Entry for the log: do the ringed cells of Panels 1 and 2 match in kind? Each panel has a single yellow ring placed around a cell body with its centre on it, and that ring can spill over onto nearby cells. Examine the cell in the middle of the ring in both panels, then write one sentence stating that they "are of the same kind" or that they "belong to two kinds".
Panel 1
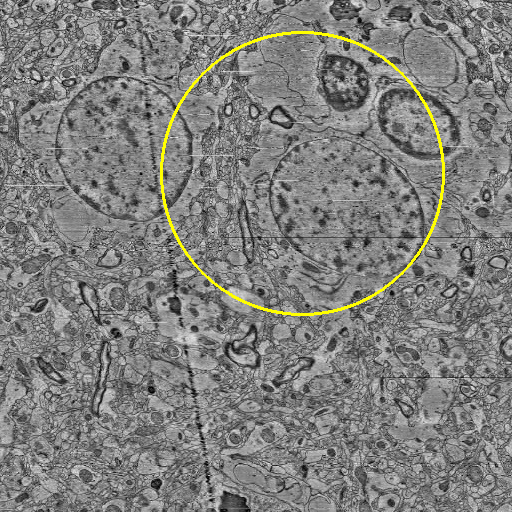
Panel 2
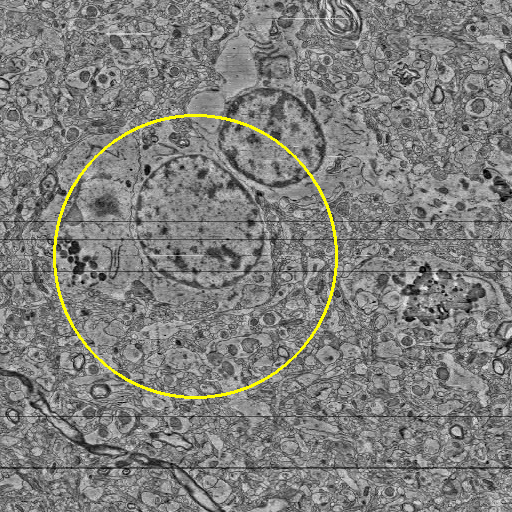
The centre cell of Panel 1's ring and that of Panel 2's ring are of the same kind.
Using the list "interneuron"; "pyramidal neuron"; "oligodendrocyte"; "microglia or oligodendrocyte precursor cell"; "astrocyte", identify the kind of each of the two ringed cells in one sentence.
Both the first and the second picture show an astrocyte in the ring.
